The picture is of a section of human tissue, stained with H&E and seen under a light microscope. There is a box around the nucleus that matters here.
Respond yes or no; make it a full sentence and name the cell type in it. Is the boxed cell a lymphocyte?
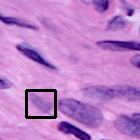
No, what the boxed cell represents is a fibroblast rather than a lymphocyte.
